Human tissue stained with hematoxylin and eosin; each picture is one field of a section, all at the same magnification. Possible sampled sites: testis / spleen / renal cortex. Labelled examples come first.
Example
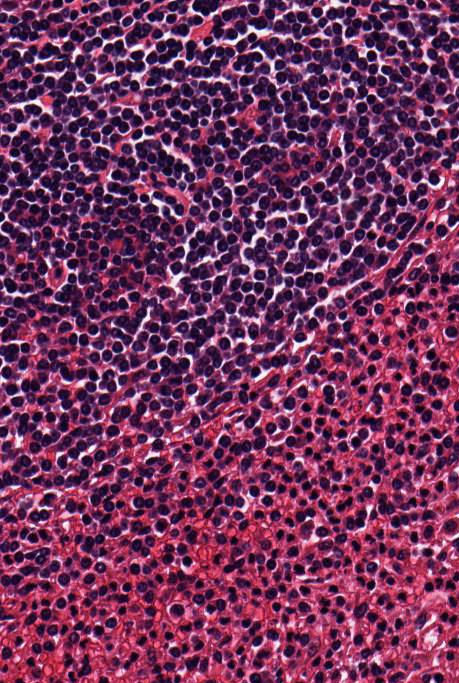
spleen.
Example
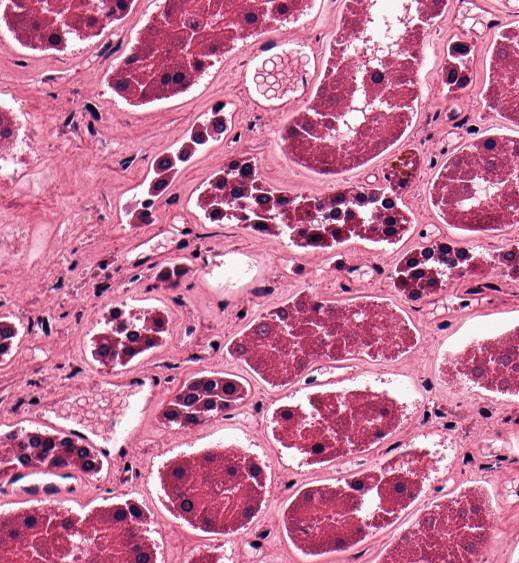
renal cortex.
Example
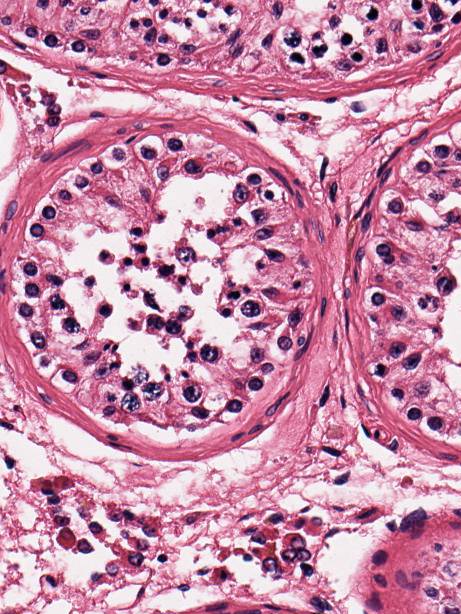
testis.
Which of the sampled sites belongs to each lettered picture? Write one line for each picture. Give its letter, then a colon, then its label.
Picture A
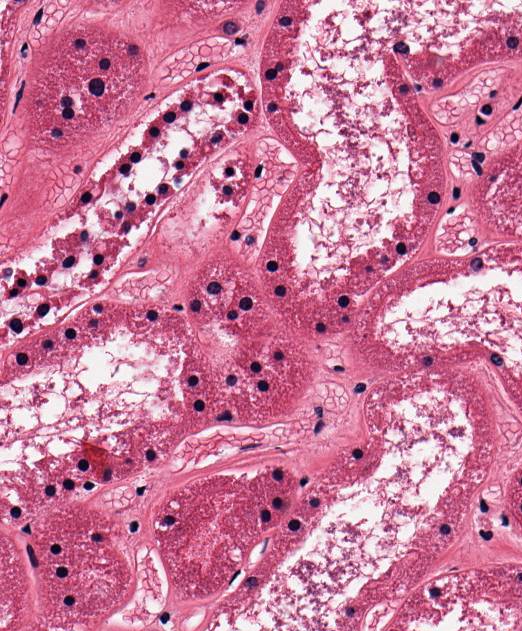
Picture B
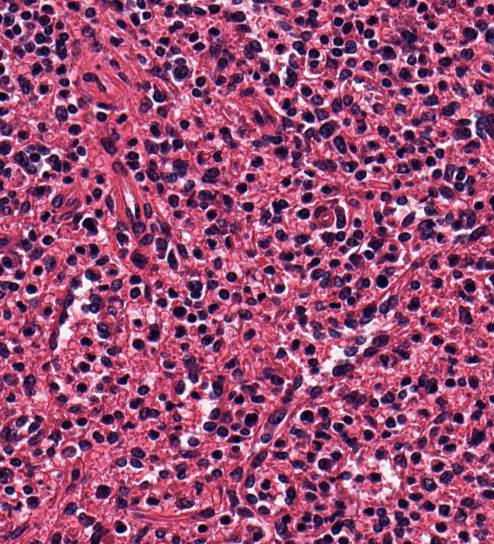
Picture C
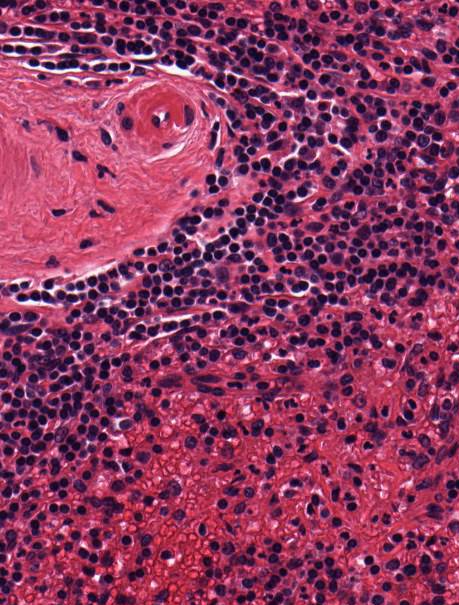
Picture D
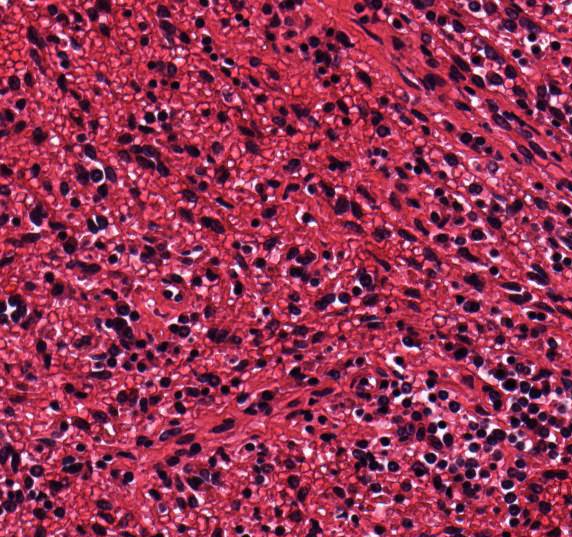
A: renal cortex.
B: spleen.
C: spleen.
D: spleen.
